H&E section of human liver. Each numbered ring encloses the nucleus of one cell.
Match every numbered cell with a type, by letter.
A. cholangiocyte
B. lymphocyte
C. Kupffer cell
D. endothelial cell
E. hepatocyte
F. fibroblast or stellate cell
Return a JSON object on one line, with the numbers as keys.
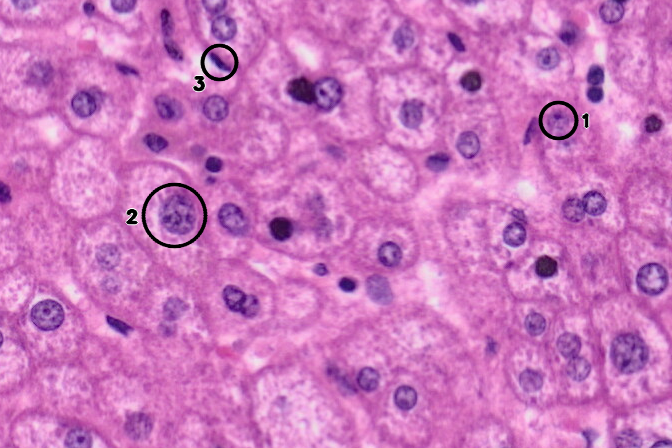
{"1": "E", "2": "E", "3": "D"}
